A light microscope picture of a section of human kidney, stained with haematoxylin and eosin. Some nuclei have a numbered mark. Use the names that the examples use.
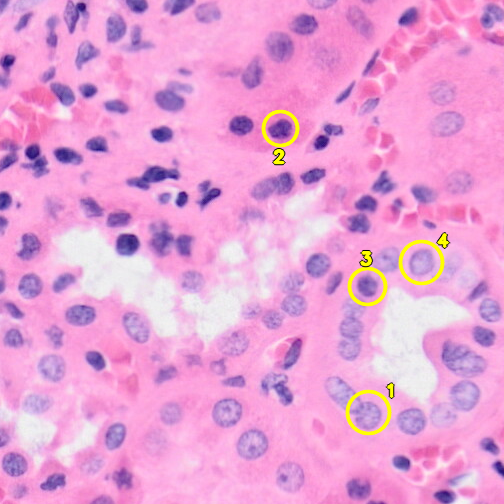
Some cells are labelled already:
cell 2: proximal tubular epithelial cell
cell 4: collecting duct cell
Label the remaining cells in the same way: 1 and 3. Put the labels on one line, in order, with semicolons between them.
collecting duct cell; collecting duct cell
